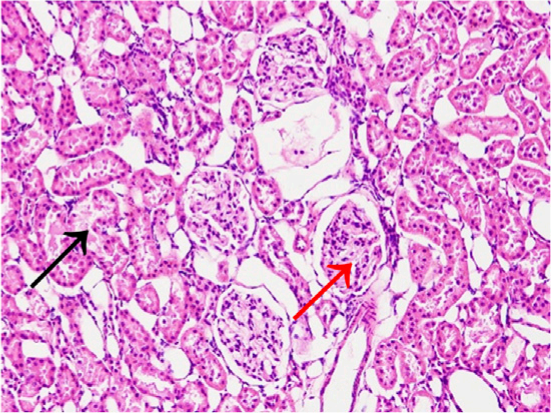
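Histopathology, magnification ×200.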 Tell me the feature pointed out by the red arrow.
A: glomeruli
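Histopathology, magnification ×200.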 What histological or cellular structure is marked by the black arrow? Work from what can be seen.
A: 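Kidney tubules. The black arrow points to a tube profile lined by cuboidal pink epithelial cells around a lumen.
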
